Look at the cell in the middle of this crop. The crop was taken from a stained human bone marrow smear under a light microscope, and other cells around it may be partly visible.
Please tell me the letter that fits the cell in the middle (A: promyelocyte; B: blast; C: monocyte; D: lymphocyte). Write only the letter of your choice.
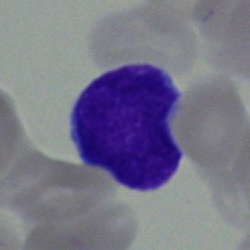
B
